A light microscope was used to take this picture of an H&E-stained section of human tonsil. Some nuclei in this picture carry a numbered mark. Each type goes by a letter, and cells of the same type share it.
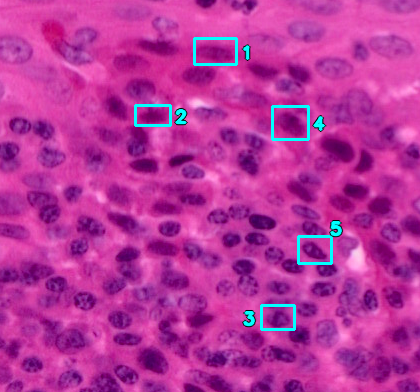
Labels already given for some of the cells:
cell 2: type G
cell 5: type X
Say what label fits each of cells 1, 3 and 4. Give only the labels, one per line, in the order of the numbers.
type G
type X
type G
